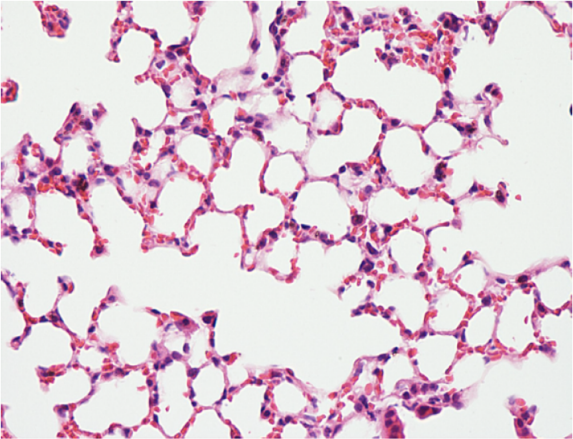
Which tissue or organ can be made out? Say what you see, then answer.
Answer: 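Many thin-walled, open air spaces separated by delicate septa. Septa contain small nuclei and red blood cells in capillaries.
Answer: lung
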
